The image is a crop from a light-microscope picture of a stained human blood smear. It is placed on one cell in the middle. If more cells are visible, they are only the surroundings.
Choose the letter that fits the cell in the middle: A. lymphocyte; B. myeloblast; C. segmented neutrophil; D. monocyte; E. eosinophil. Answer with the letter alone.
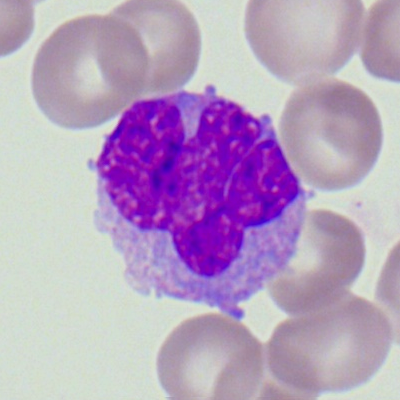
D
